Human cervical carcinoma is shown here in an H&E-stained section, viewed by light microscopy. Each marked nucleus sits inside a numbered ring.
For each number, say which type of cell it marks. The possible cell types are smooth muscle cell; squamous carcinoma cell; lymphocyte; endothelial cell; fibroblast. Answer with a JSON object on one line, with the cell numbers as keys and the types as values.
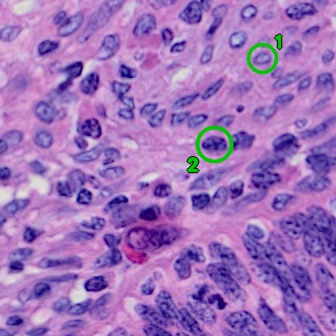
{"1": "smooth muscle cell", "2": "lymphocyte"}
